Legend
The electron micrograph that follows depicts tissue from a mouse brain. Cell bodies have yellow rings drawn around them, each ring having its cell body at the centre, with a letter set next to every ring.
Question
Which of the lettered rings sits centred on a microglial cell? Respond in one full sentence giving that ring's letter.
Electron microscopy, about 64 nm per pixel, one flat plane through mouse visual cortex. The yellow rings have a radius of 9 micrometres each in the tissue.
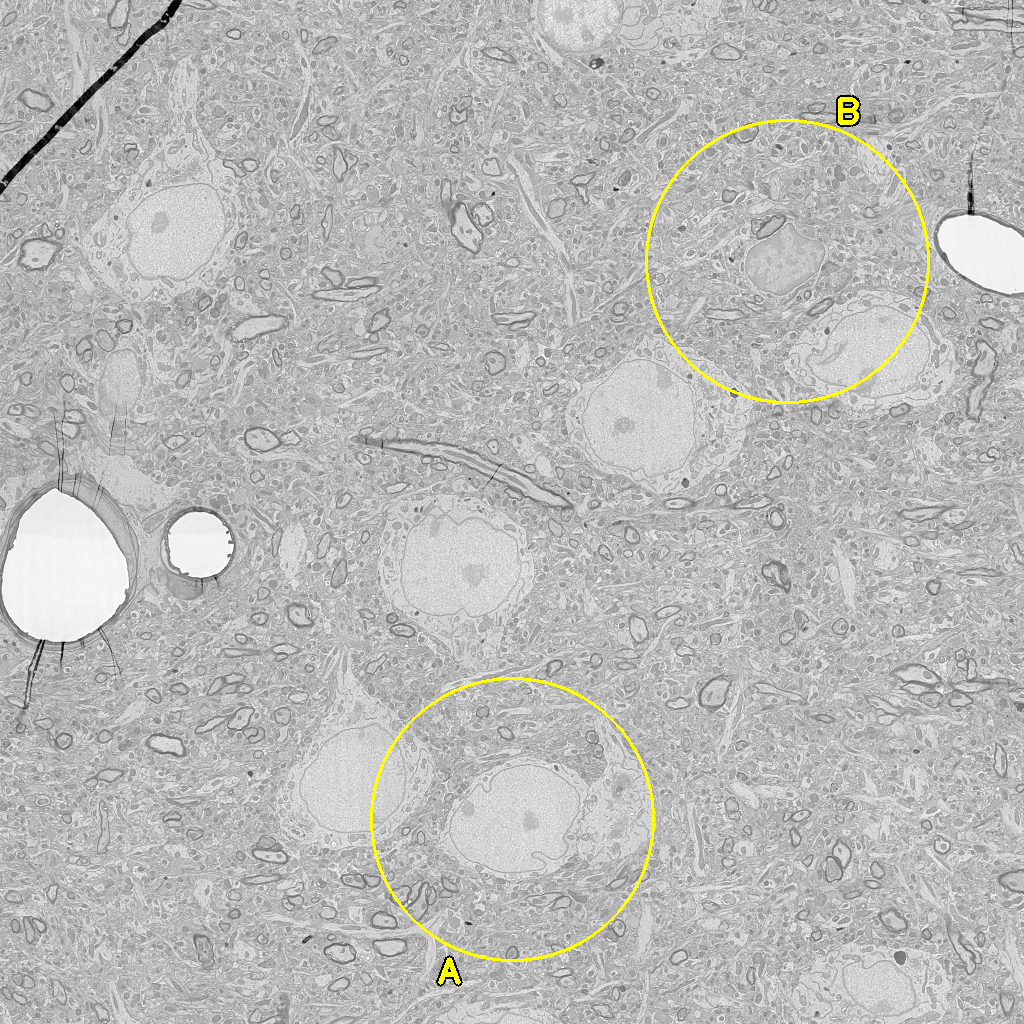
The letter B belongs to the ring centred on the cell asked about in the micrograph.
